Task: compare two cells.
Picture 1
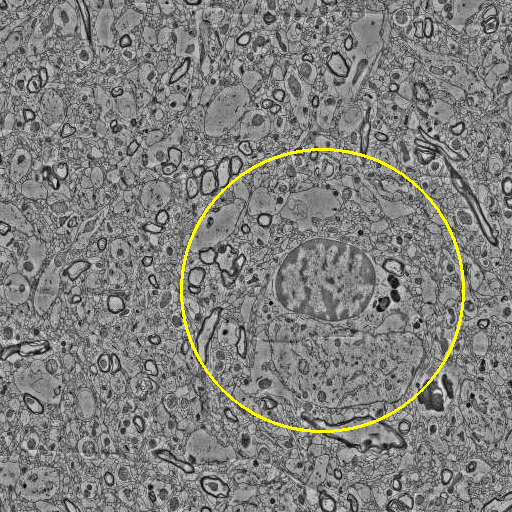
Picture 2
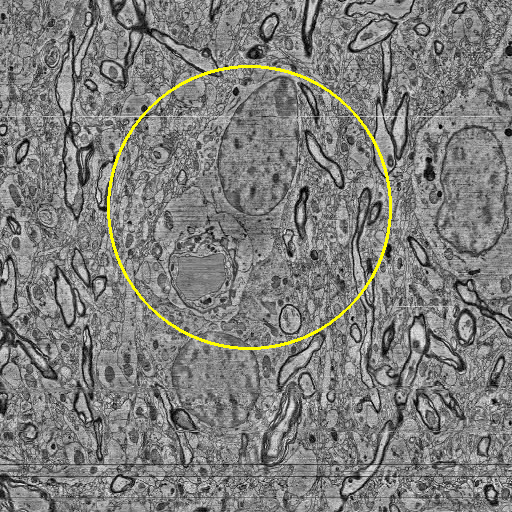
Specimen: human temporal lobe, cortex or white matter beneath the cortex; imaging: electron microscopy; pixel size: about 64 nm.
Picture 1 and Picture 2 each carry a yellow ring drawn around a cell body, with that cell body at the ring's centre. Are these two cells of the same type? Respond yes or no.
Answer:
yes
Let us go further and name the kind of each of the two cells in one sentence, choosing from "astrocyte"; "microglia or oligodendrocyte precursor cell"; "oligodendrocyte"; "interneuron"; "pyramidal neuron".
The ring centre holds a microglial cell or oligodendrocyte precursor cell in each of the two pictures.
